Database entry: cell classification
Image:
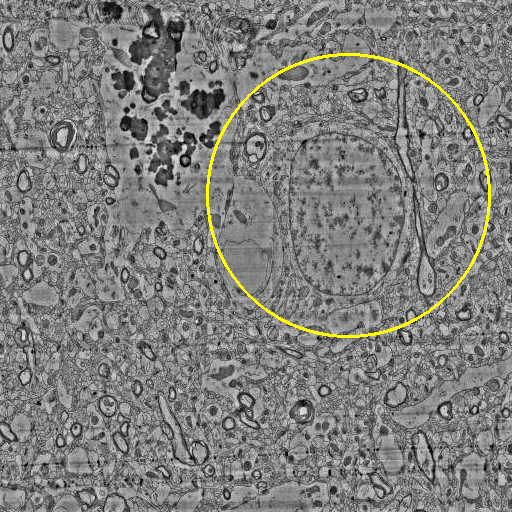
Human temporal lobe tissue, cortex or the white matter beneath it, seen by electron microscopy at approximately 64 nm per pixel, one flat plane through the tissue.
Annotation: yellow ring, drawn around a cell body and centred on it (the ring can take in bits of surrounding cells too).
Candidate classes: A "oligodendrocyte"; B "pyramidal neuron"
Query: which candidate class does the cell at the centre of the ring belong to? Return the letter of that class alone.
B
